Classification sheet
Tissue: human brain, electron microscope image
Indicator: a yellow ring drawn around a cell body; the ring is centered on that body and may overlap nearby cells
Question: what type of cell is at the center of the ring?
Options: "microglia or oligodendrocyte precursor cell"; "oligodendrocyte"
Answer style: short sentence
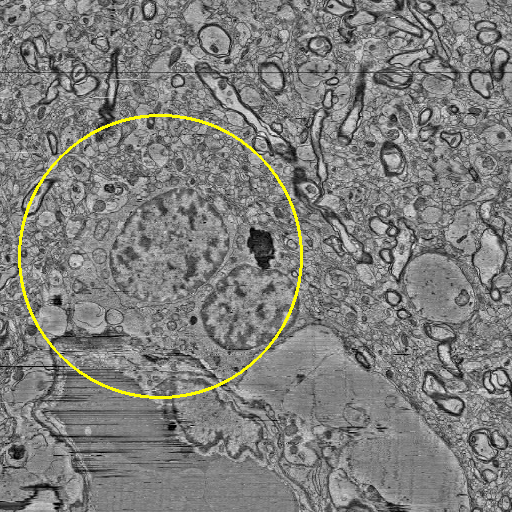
At the ring's center is an oligodendrocyte.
